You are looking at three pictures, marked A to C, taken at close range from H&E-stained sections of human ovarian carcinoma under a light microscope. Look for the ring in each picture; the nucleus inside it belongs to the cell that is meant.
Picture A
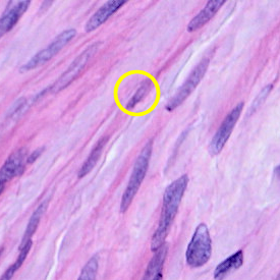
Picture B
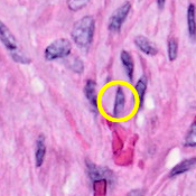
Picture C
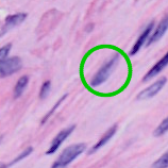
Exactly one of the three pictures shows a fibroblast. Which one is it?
B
